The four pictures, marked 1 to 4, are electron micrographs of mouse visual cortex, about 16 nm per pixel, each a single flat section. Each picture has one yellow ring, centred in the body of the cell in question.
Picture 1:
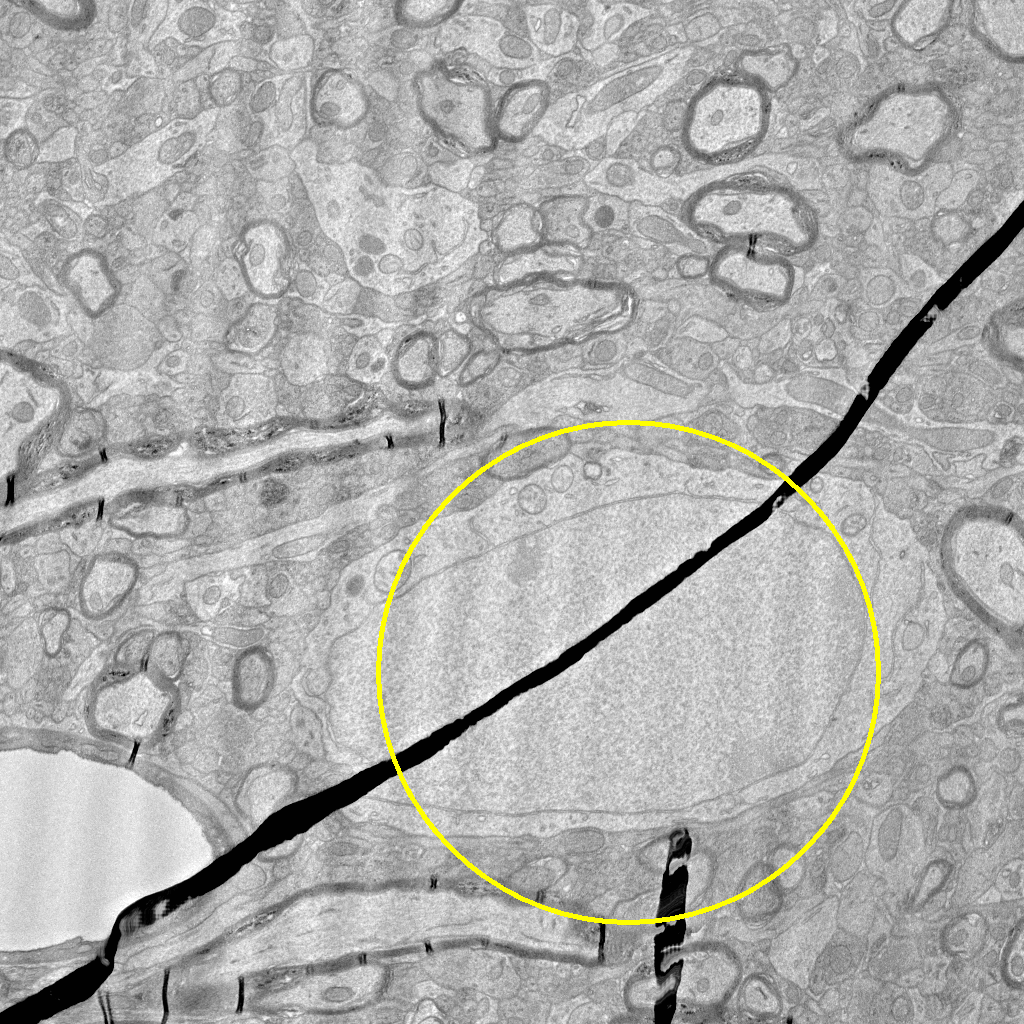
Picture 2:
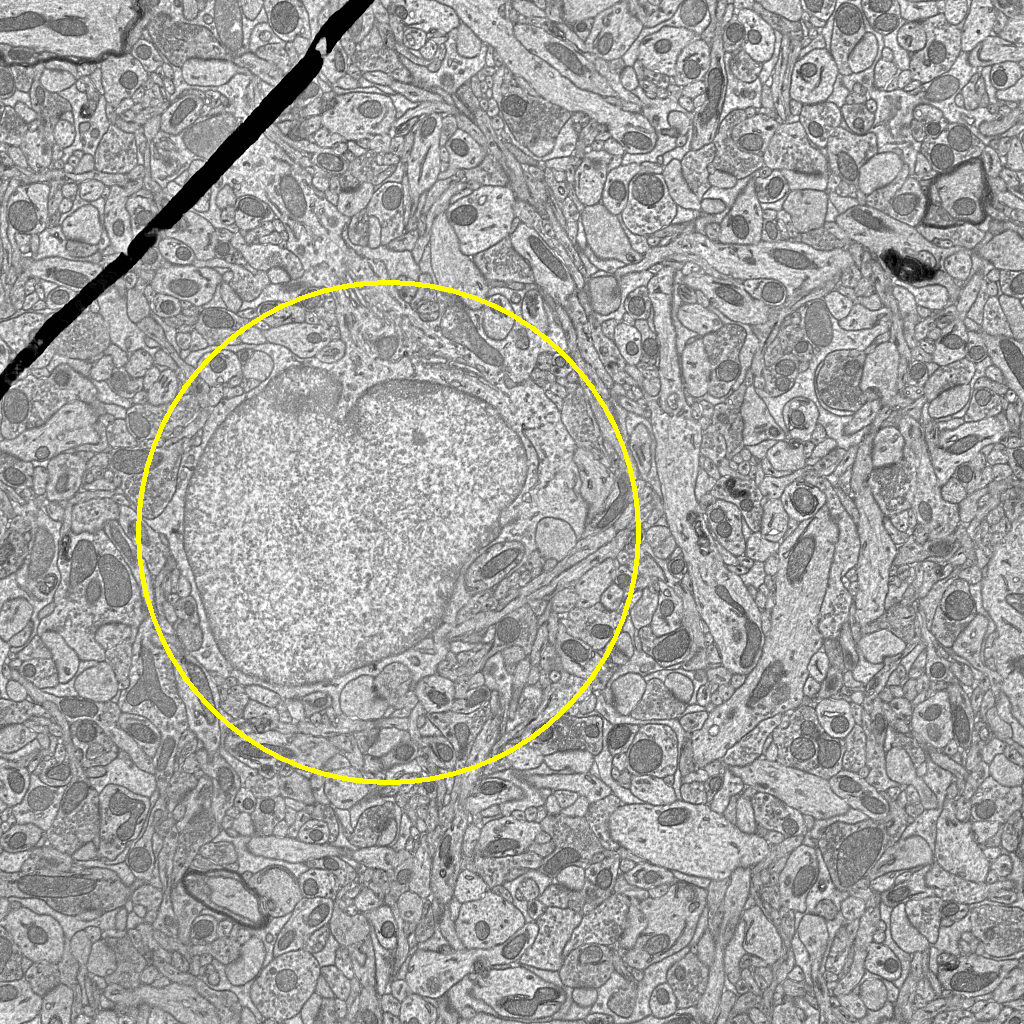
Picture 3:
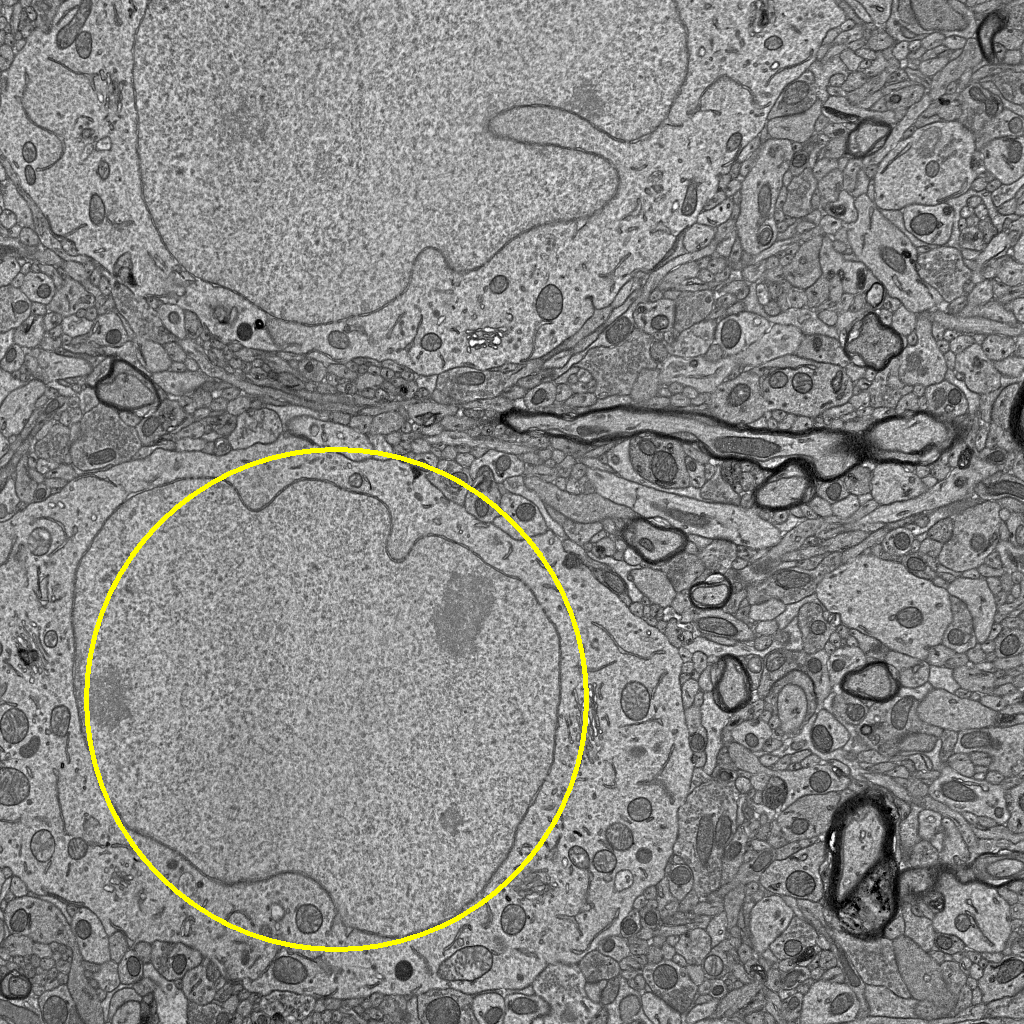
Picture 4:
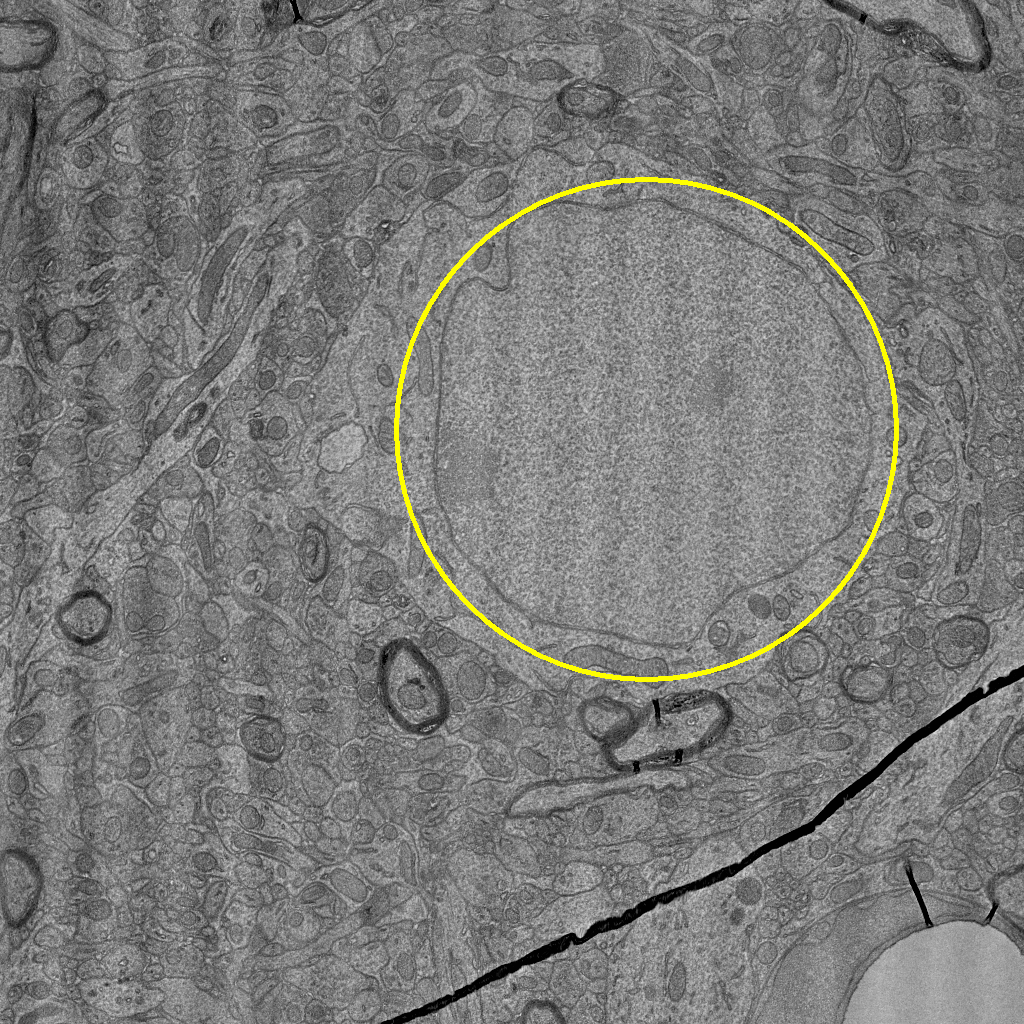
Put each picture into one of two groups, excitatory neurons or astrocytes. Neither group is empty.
Pictures 1, 3 and 4 show excitatory neurons; picture 2 shows an astrocyte.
